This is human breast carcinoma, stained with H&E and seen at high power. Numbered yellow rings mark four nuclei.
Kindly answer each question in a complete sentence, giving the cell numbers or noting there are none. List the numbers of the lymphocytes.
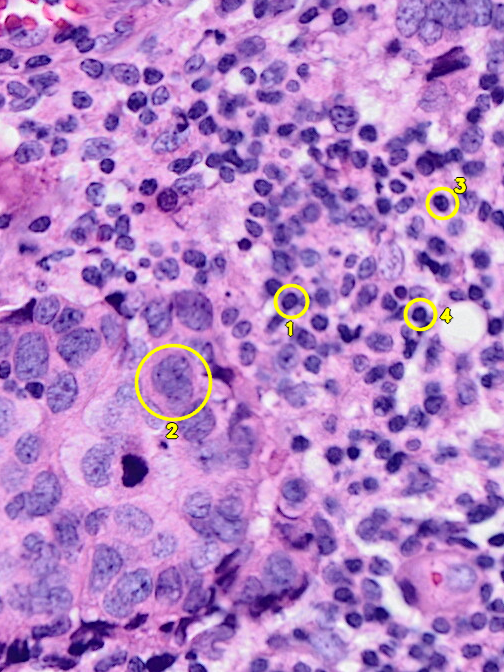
The cells numbered 1, 3 and 4 are typed as lymphocytes.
